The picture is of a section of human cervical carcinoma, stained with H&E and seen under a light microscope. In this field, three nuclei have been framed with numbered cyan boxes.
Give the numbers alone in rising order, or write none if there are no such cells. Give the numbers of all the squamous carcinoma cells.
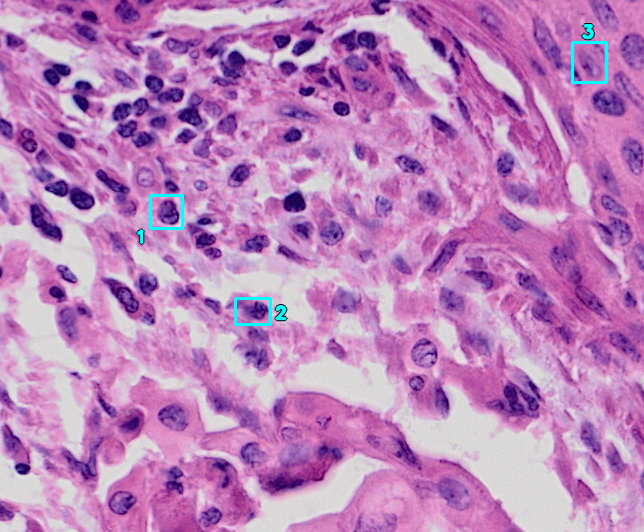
3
